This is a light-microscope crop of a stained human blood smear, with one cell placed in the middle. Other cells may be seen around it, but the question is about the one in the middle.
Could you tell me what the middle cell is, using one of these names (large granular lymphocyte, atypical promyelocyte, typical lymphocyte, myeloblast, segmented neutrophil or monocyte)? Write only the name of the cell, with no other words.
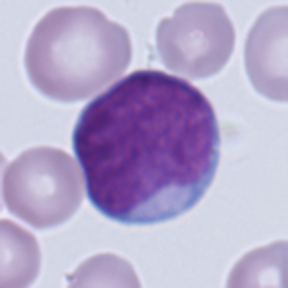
myeloblast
